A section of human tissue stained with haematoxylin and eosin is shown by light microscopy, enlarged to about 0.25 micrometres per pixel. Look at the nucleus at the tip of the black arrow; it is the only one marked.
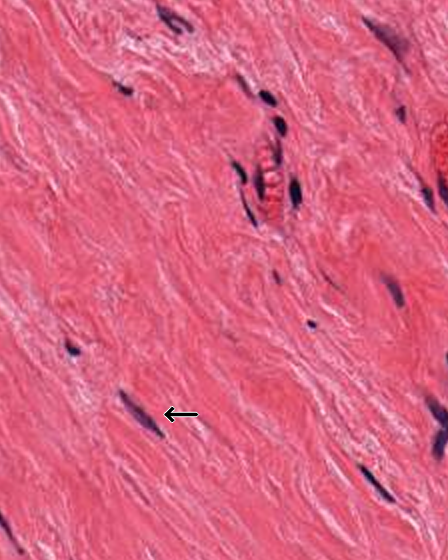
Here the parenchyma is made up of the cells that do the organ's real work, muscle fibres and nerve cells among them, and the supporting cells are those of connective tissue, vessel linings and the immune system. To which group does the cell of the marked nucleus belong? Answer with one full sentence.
Identified as a supporting cell is the cell holding the marked nucleus.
